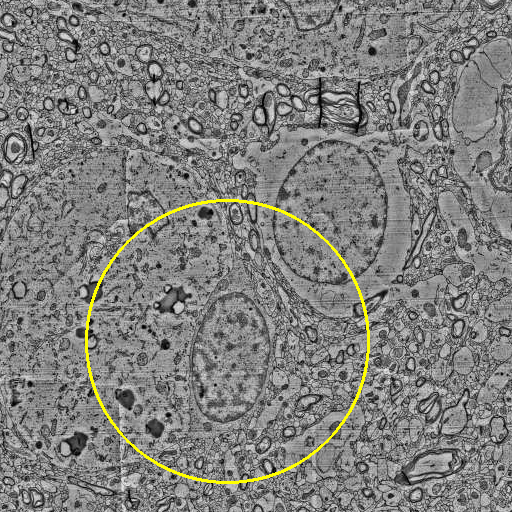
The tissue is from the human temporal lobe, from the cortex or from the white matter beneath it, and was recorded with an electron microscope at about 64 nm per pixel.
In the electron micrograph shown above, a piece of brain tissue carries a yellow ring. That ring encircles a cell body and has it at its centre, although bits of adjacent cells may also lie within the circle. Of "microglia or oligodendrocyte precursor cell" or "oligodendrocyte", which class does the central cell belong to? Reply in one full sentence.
The cell body at the centre of the yellow ring belongs to an oligodendrocyte.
